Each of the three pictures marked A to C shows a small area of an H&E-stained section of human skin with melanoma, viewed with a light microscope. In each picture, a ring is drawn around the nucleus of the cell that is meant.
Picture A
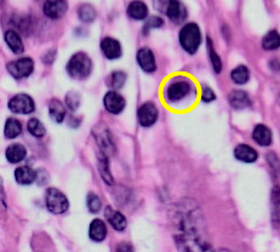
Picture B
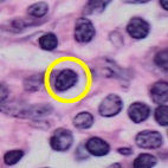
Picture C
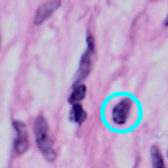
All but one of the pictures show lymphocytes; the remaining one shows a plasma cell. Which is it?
A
